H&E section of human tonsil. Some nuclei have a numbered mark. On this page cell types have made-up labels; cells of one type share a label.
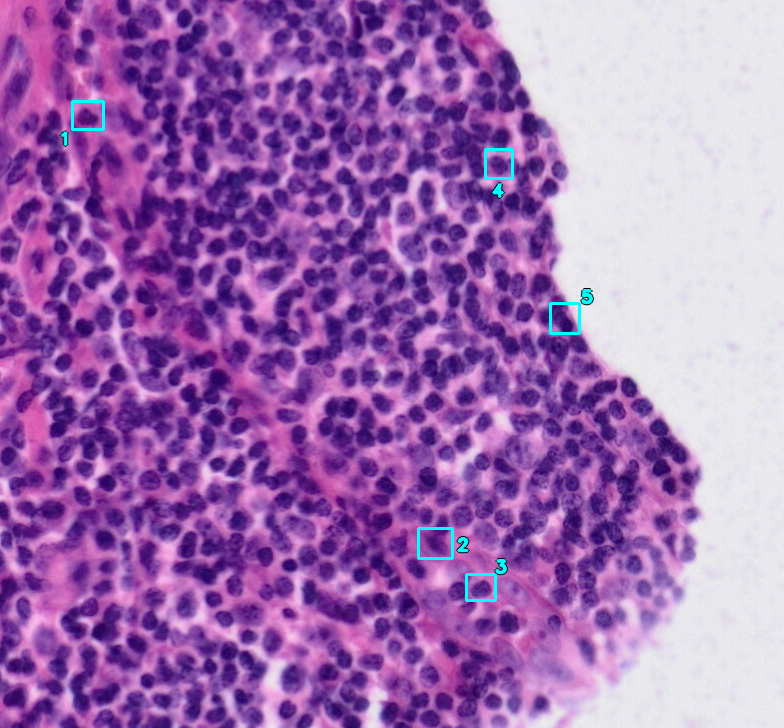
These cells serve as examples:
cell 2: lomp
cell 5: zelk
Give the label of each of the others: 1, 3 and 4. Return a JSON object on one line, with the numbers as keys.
{"1": "lomp", "3": "lomp", "4": "zelk"}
